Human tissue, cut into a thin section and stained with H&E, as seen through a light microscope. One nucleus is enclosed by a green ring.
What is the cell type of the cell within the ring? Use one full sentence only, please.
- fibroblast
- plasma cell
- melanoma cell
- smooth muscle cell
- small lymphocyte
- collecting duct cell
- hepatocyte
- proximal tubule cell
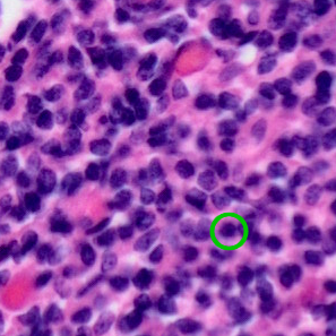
In this tissue sample, the cell within the ring is a small lymphocyte.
